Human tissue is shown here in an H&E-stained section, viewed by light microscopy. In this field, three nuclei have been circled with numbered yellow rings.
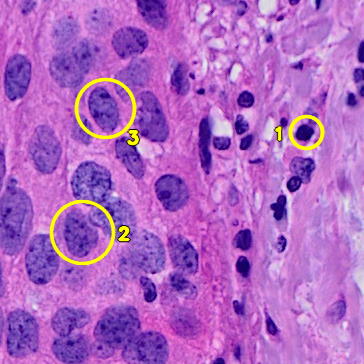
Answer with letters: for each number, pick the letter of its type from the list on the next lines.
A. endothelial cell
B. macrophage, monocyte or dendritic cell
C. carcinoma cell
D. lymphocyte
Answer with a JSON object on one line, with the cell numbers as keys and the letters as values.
{"1": "D", "2": "C", "3": "C"}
